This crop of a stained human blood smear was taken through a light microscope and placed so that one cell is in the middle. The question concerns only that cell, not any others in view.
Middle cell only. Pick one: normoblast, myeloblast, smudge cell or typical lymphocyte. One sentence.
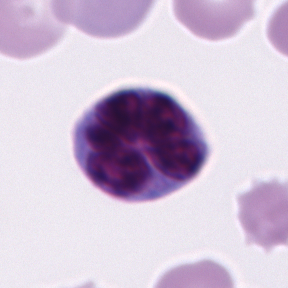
Located at the centre of the crop is a normoblast.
